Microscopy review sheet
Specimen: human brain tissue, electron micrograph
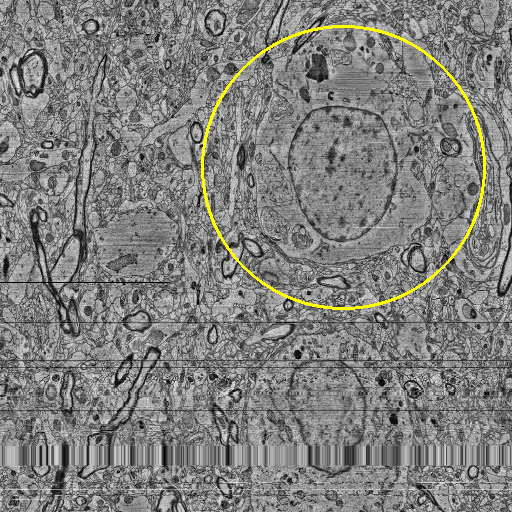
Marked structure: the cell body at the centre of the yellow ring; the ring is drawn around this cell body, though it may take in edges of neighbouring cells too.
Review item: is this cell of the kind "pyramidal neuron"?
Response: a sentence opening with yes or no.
No, this cell is of another kind.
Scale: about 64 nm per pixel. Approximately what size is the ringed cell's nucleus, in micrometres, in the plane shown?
The nucleus comes to roughly 9 by 7 micrometres in this plane.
